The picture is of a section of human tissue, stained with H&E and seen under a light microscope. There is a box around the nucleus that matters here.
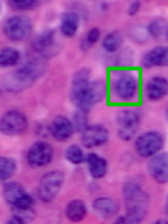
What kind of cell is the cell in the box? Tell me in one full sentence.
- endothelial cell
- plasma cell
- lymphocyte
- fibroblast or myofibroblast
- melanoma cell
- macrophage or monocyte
The correct response here is that the cell in the box is a plasma cell.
